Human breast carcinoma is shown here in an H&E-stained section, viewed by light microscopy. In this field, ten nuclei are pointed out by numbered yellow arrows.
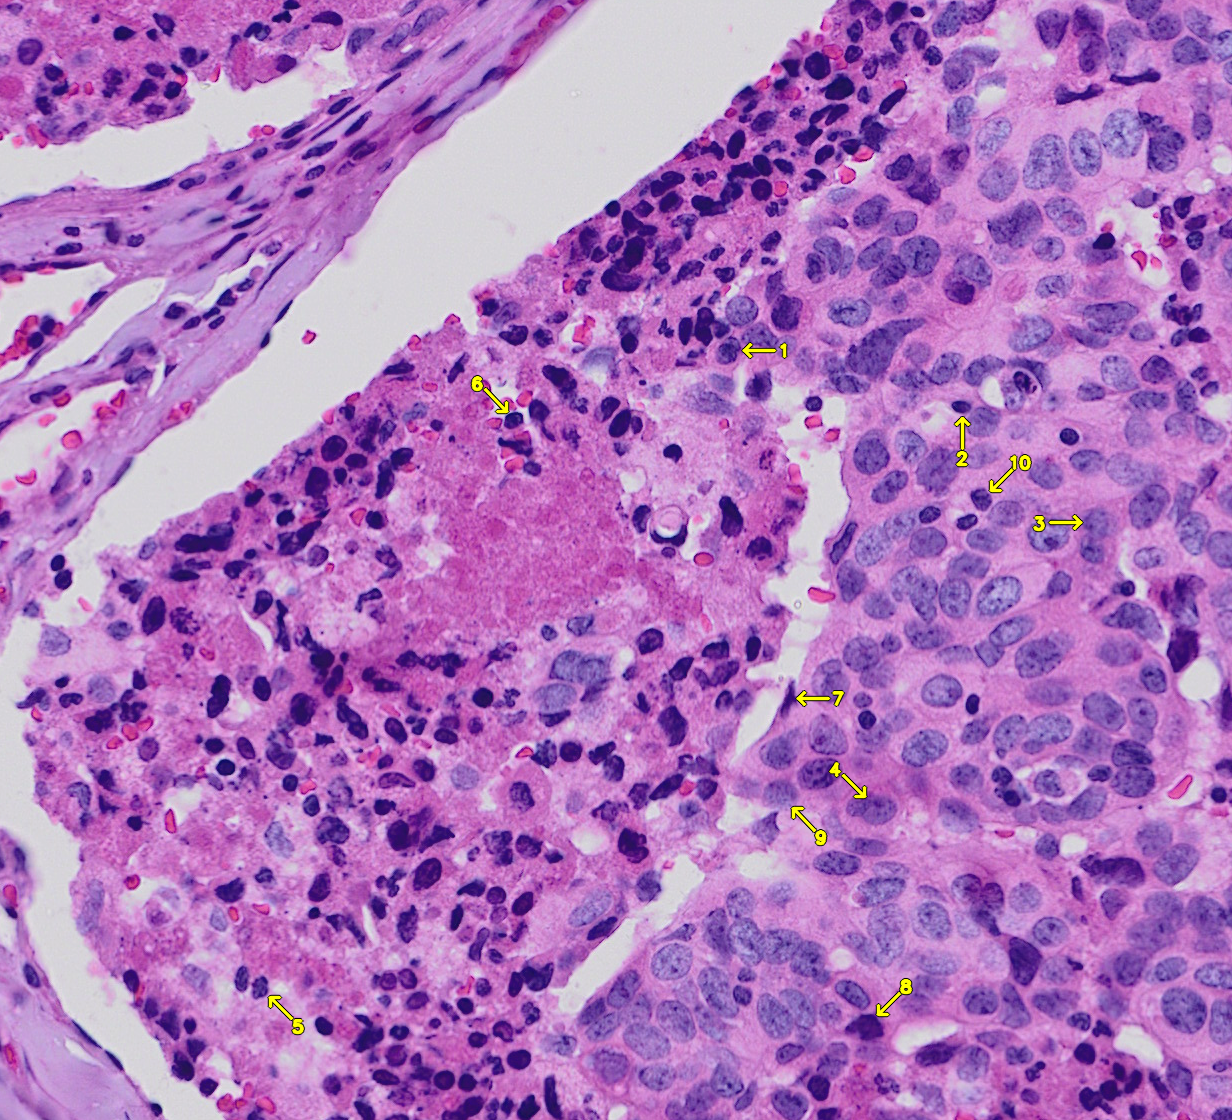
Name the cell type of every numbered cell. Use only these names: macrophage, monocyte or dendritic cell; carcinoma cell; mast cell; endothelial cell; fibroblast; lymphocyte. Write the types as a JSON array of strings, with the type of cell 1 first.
["carcinoma cell", "lymphocyte", "carcinoma cell", "carcinoma cell", "lymphocyte", "lymphocyte", "carcinoma cell", "carcinoma cell", "carcinoma cell", "lymphocyte"]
